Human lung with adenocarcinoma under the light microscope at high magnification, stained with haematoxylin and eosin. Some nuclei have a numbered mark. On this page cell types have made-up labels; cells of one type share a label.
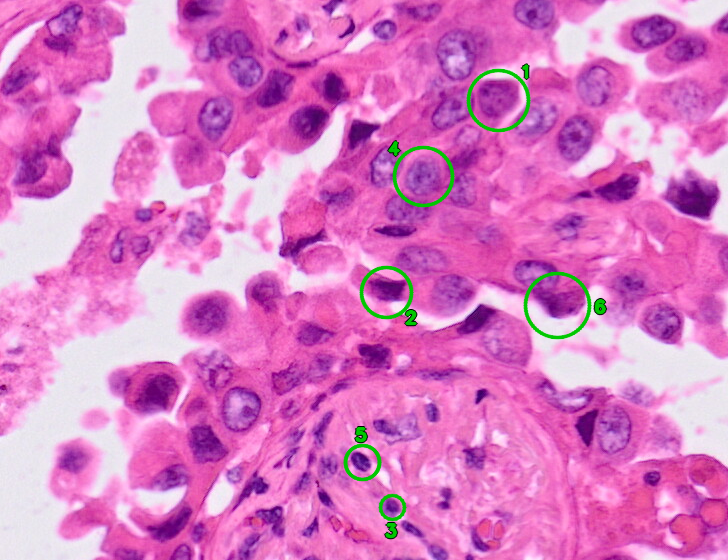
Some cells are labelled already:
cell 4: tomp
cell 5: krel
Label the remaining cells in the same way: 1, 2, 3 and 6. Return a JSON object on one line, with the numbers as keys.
{"1": "tomp", "2": "tomp", "3": "krel", "6": "tomp"}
